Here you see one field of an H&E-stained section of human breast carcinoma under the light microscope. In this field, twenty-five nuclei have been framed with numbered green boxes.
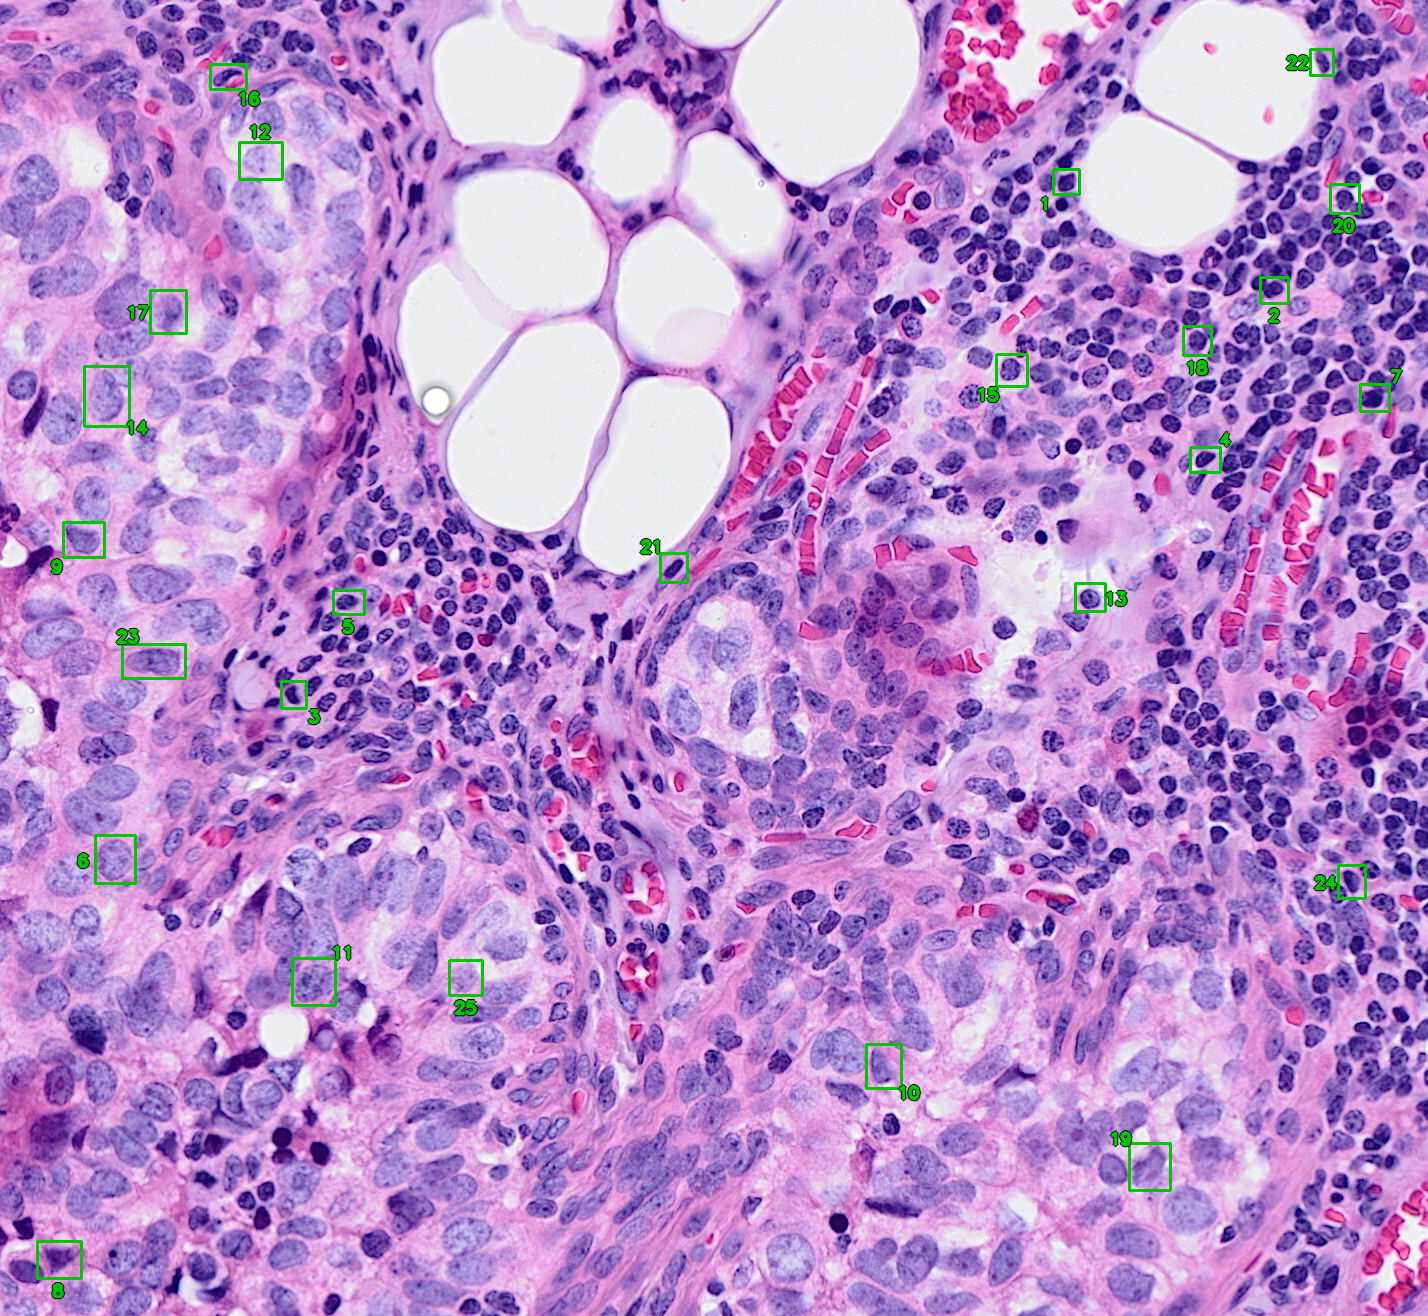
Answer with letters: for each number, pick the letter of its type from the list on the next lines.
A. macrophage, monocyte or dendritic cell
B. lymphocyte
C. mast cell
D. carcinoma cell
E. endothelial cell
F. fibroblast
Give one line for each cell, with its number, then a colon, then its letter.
1: B
2: B
3: B
4: B
5: B
6: D
7: B
8: D
9: D
10: D
11: D
12: D
13: B
14: D
15: B
16: E
17: D
18: B
19: D
20: B
21: B
22: B
23: D
24: B
25: D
